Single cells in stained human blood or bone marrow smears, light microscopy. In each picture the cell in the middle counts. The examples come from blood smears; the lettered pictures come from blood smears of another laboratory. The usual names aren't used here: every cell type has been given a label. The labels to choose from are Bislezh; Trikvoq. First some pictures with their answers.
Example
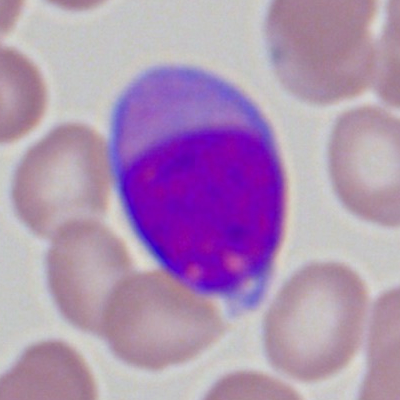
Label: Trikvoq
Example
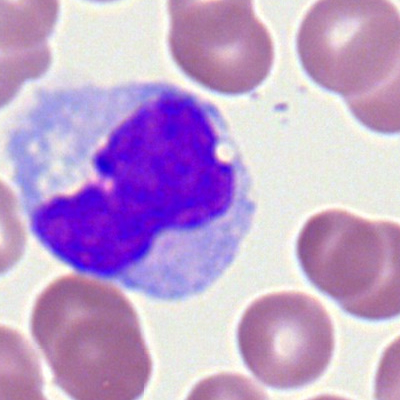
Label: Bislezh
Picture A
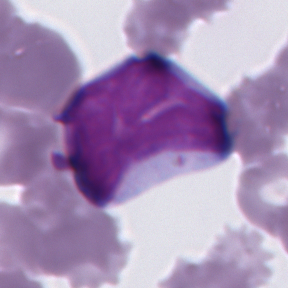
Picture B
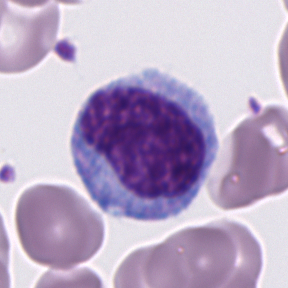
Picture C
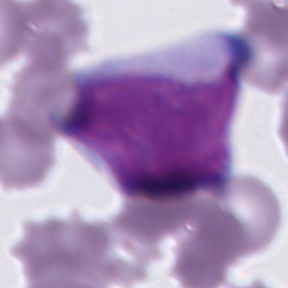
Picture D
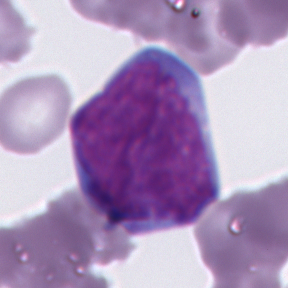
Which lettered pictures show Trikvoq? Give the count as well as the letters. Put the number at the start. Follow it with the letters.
Count: 3 (A, C, D)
